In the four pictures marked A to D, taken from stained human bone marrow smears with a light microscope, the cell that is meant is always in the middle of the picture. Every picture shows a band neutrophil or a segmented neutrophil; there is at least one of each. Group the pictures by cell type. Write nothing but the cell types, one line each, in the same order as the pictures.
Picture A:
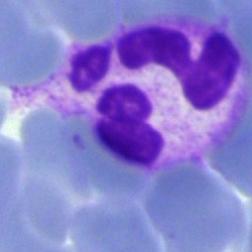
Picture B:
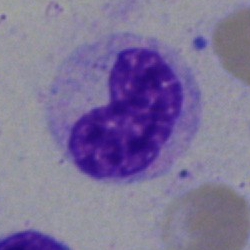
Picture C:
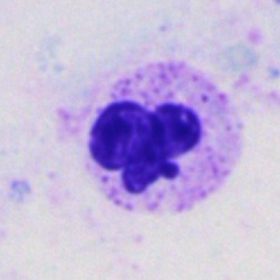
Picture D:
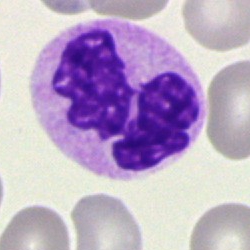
segmented neutrophil
band neutrophil
segmented neutrophil
segmented neutrophil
